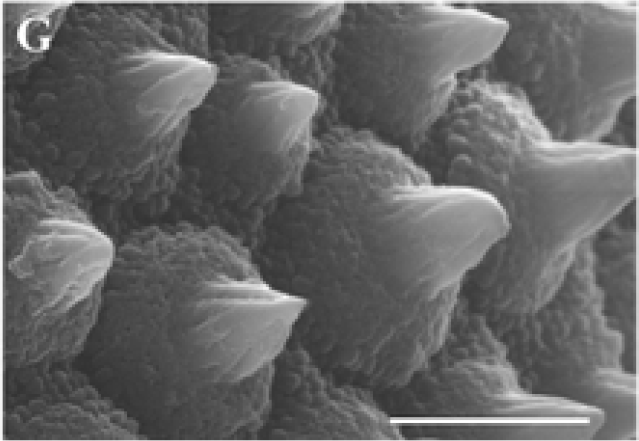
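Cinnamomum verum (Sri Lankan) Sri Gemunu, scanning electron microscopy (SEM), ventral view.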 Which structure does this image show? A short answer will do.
Striated Conical linear spine on a cushion base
